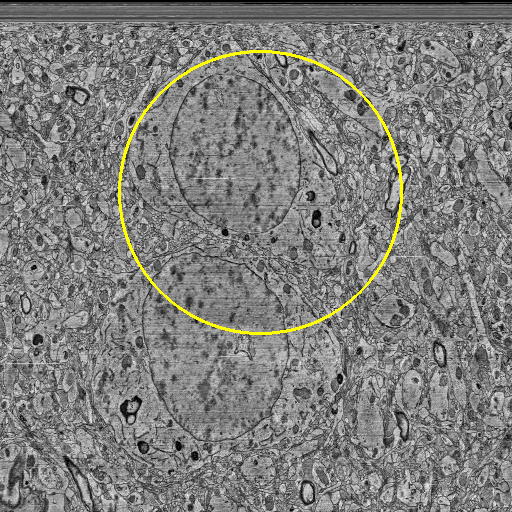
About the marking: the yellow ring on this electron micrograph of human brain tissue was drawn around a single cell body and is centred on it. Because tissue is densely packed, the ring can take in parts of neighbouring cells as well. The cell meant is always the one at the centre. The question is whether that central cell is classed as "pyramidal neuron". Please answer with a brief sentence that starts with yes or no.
Yes, the central cell is classed that way.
